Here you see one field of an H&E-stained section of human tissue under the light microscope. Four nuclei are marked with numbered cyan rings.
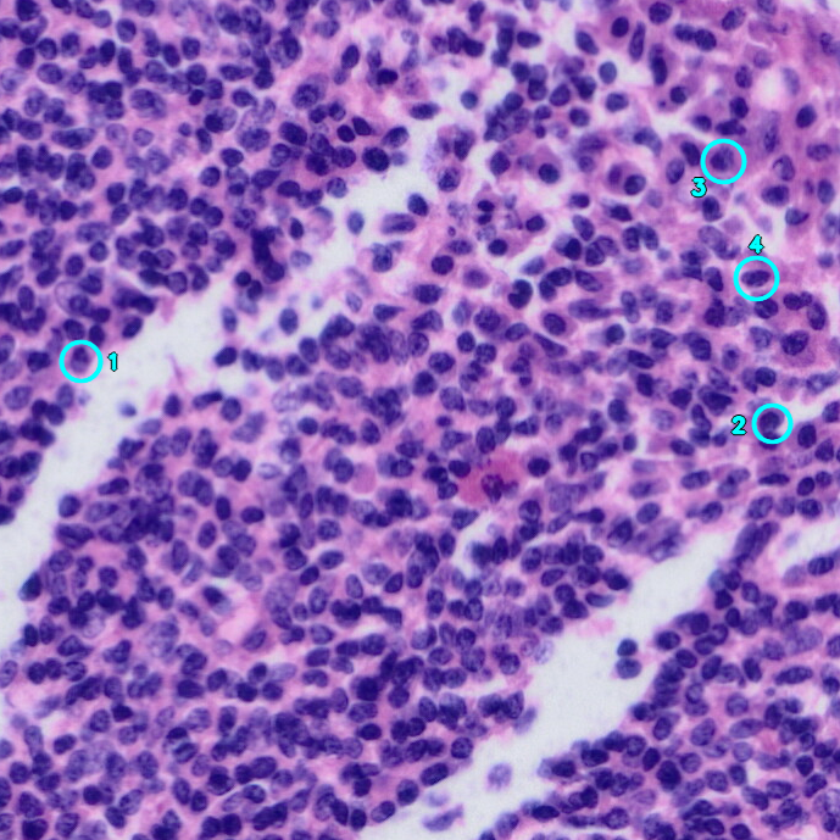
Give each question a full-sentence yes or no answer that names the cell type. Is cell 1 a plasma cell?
No, it is a small lymphocyte, rather than a plasma cell, that carries number 1.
